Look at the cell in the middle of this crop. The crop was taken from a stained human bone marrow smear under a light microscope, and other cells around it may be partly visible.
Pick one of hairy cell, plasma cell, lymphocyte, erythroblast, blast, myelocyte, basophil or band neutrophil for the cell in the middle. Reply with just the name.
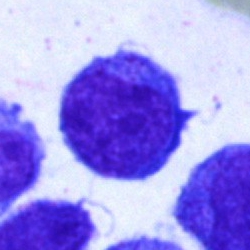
blast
